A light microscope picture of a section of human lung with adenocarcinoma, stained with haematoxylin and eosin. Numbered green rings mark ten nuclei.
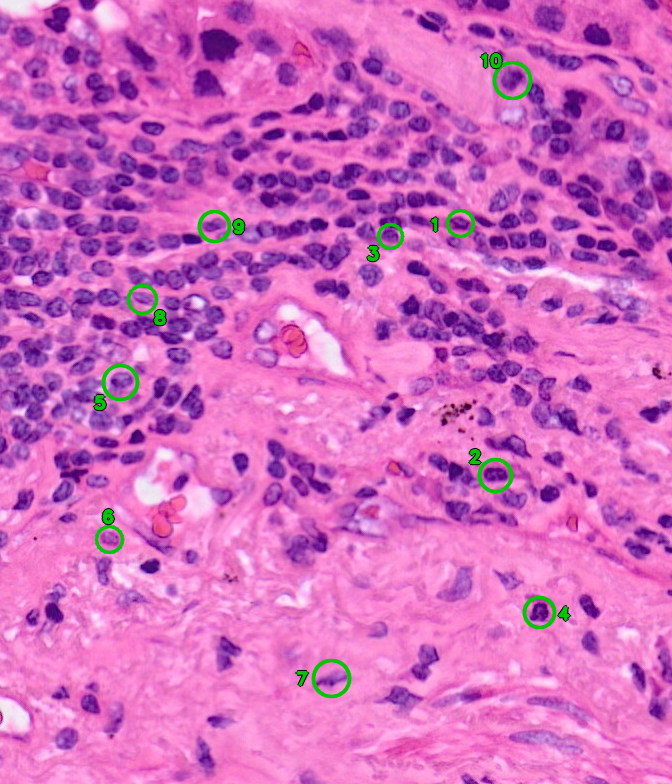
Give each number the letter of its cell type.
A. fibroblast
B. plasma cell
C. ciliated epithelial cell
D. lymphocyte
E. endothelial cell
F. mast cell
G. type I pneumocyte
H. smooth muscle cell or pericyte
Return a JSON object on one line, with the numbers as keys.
{"1": "B", "2": "B", "3": "D", "4": "B", "5": "D", "6": "F", "7": "A", "8": "D", "9": "D", "10": "B"}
